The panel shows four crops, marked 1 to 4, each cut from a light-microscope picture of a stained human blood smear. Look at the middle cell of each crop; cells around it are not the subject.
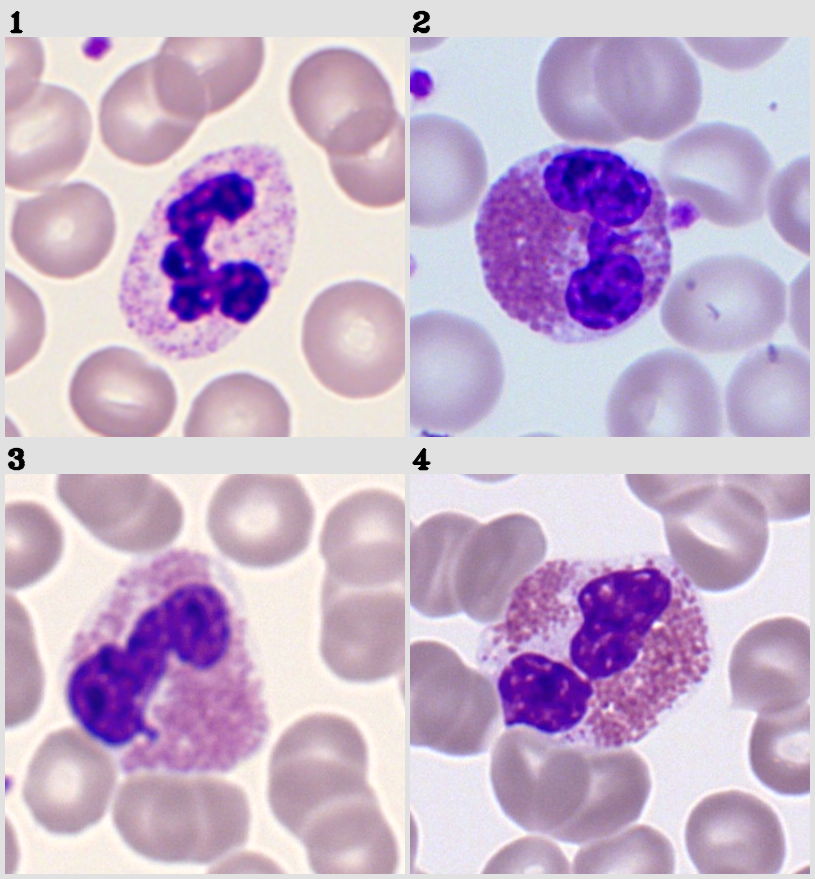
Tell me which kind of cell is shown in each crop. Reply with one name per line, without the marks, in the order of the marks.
segmented neutrophil
eosinophil
eosinophil
eosinophil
